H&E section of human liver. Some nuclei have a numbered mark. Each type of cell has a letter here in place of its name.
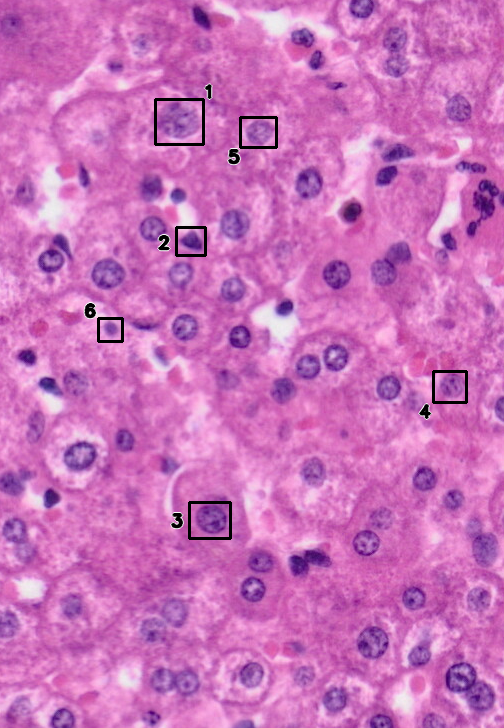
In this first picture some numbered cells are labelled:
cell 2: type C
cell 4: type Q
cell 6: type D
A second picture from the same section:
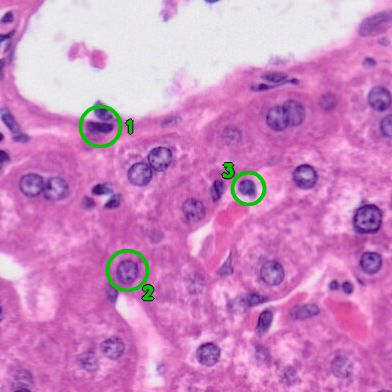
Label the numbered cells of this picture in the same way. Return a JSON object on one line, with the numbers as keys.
{"1": "type C", "2": "type Q", "3": "type D"}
